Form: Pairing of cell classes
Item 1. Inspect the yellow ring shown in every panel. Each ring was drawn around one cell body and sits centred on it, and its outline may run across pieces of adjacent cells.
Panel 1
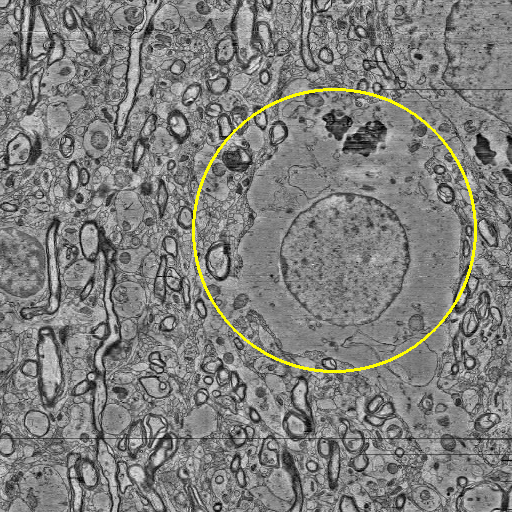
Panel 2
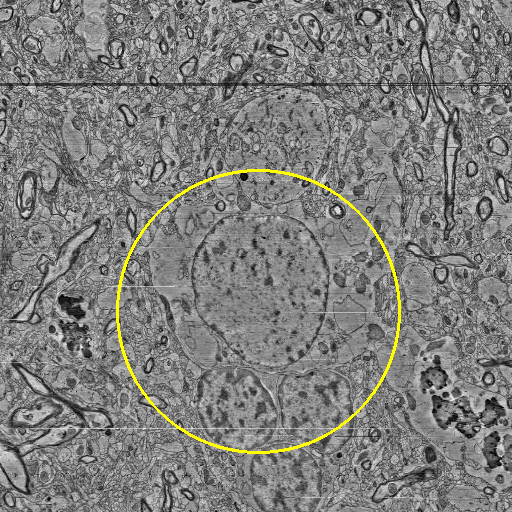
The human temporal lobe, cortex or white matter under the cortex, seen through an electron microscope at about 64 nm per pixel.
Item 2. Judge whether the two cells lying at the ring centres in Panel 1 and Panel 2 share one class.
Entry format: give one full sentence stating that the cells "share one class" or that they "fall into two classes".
The cells at the ring centres in Panel 1 and Panel 2 share one class.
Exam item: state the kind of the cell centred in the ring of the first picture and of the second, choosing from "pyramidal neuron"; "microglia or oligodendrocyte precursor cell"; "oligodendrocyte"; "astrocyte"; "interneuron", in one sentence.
Each cell, in the first picture and the second, is an astrocyte.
